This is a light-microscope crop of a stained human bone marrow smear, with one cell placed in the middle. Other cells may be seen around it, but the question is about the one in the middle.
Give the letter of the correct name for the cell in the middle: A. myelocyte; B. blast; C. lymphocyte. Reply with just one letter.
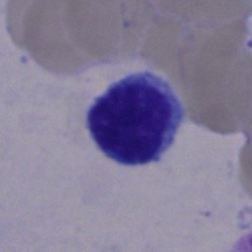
C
